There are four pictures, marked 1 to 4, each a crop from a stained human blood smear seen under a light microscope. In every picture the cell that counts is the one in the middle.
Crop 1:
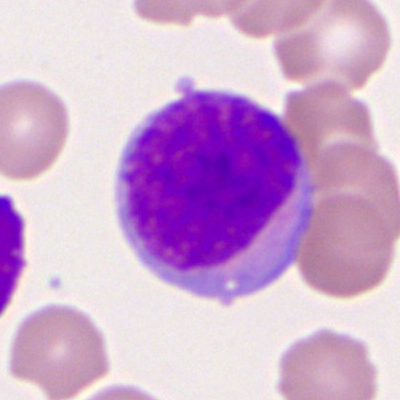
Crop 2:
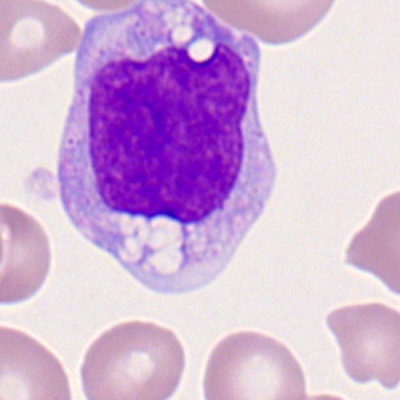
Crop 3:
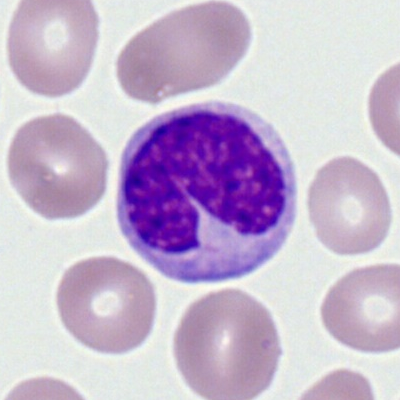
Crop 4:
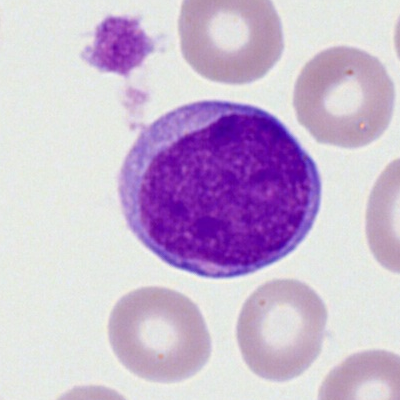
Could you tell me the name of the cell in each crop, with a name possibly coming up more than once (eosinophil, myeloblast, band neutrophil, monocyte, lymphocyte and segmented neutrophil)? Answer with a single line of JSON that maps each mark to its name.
{"1": "myeloblast", "2": "monocyte", "3": "monocyte", "4": "myeloblast"}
